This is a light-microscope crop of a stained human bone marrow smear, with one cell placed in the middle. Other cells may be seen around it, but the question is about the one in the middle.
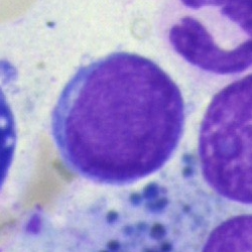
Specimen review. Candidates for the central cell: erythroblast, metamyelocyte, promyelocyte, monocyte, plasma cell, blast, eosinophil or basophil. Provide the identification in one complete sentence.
The central cell in this smear crop is a blast.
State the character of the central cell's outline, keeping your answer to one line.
Its surface contour is regular and smooth, without any protrusions.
